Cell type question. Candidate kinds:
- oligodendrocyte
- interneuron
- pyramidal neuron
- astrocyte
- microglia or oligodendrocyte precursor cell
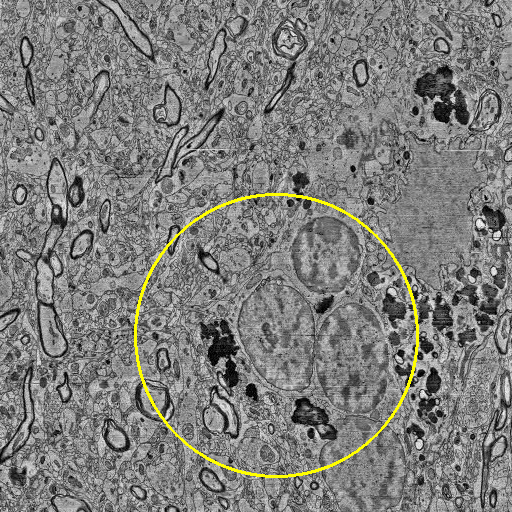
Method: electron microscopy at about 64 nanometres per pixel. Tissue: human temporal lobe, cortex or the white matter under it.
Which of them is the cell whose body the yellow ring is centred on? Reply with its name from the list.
oligodendrocyte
